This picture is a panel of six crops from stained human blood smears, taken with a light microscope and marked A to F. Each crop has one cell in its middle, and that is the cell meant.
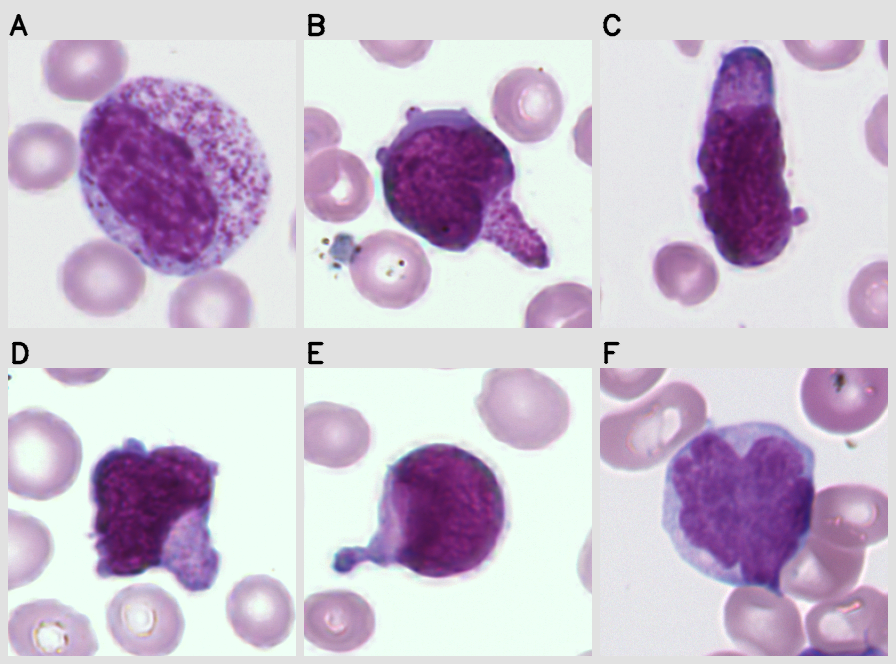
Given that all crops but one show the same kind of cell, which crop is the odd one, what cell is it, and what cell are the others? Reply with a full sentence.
The pattern of atypical promyelocytes across the crops is broken only by crop A, which shows a myelocyte.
